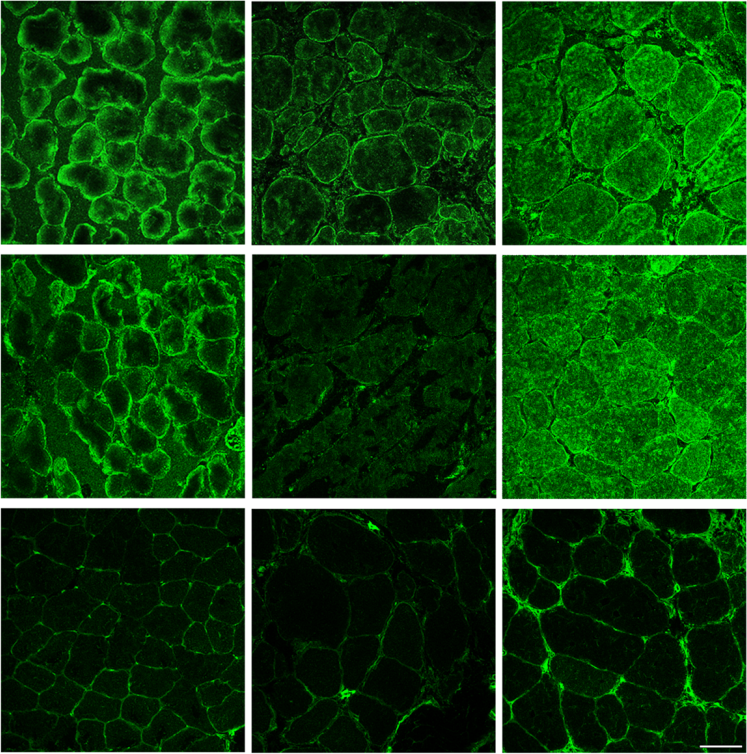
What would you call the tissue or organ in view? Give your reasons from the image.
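Rounded to polygonal fibres in cross section packed side by side. Narrow spaces separate neighbouring fibres. That points to this answer: skeletal muscle.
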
